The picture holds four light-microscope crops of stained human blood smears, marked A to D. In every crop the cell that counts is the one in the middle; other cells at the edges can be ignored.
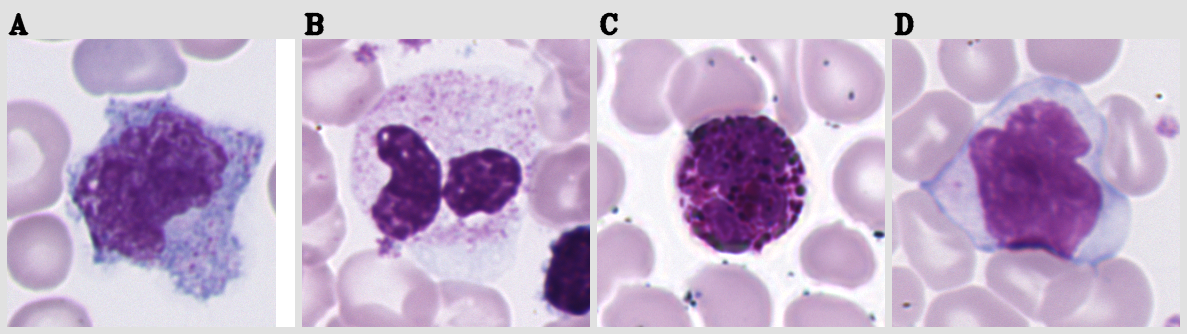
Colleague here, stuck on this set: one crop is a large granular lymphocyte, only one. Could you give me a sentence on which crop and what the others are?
It is a large granular lymphocyte that crop D shows, while crop A is a promyelocyte, crop B is a neutrophil and crop C is a basophil.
